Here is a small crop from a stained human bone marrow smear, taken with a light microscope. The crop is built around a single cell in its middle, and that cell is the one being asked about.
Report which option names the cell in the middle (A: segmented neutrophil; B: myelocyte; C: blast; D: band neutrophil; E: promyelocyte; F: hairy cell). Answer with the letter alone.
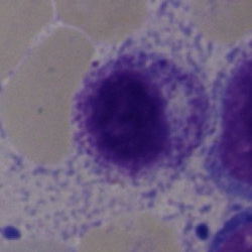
B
